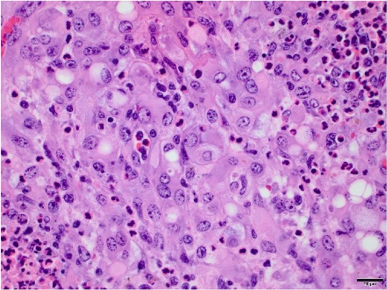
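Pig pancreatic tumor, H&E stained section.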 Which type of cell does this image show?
atypical epithelioid cells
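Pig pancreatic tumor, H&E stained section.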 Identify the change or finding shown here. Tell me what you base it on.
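Inflammatory component. Many small cells with dark, compact or lobed nuclei lie among and beside the large cells, densest at the right.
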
